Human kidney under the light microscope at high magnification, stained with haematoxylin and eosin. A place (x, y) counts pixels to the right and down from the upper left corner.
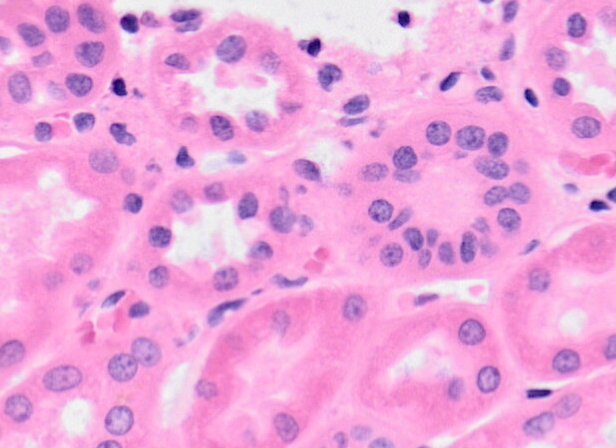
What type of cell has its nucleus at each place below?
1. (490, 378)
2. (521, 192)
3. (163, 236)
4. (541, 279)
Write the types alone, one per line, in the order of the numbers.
proximal tubule cell
collecting duct cell
loop of Henle or distal tubule cell
proximal tubule cell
